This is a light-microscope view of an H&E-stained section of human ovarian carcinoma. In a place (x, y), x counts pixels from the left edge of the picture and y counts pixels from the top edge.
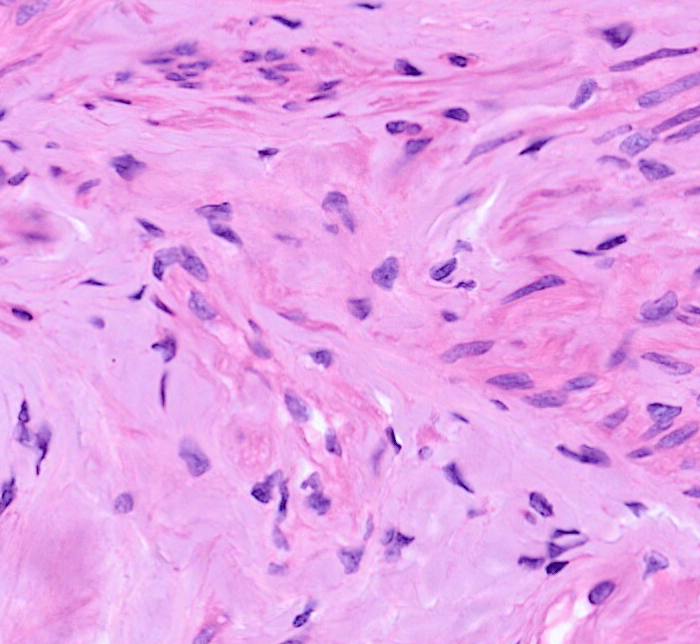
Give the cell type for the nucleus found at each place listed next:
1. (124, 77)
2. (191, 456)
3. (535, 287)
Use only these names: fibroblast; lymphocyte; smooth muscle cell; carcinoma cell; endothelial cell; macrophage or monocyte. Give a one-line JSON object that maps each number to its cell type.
{"1": "smooth muscle cell", "2": "fibroblast", "3": "smooth muscle cell"}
